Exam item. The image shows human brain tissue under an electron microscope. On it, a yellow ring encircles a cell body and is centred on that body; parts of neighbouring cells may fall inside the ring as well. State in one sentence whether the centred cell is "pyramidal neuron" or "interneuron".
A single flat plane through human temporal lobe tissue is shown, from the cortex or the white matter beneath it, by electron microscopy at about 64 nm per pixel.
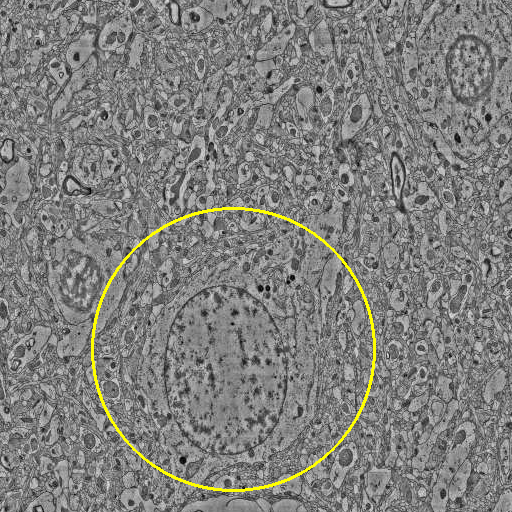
The cell body centred in the ring is a pyramidal neuron.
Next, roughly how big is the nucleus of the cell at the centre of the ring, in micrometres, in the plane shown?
The nucleus comes to roughly 11 by 8 micrometres in this plane.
